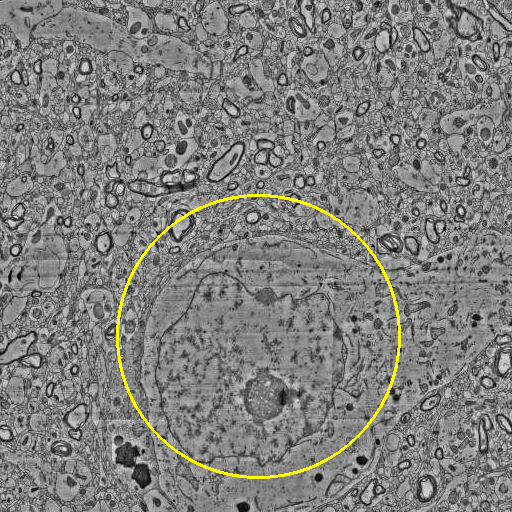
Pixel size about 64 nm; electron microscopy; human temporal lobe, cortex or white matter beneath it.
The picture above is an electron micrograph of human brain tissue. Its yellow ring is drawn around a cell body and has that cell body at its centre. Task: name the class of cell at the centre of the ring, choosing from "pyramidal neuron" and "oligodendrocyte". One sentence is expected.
The ring surrounds the body of a pyramidal neuron.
